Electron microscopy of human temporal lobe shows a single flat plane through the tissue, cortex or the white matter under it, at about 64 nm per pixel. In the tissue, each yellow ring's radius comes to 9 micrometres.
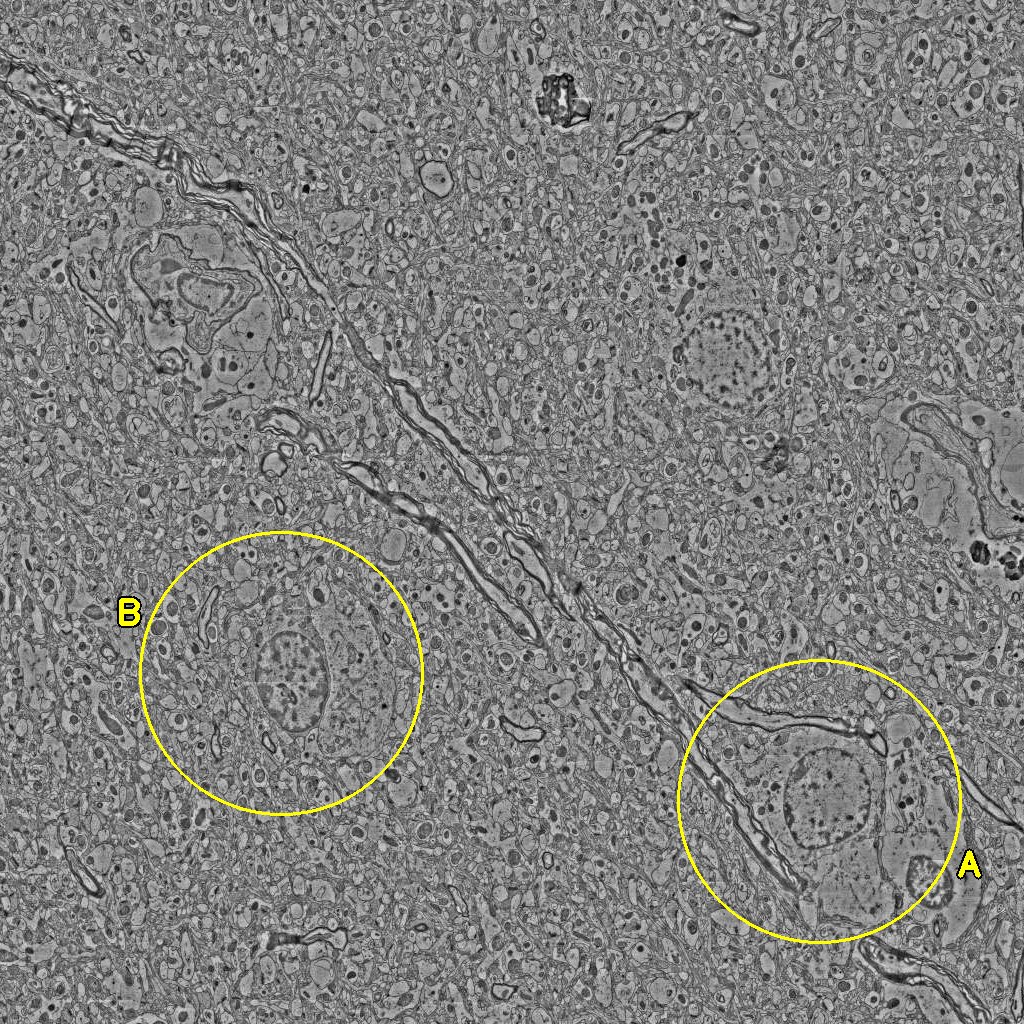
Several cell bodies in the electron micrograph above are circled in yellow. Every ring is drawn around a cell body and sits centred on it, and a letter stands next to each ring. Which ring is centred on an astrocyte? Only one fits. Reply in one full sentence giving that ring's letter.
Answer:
The ring centred on the cell asked for is Ring A.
